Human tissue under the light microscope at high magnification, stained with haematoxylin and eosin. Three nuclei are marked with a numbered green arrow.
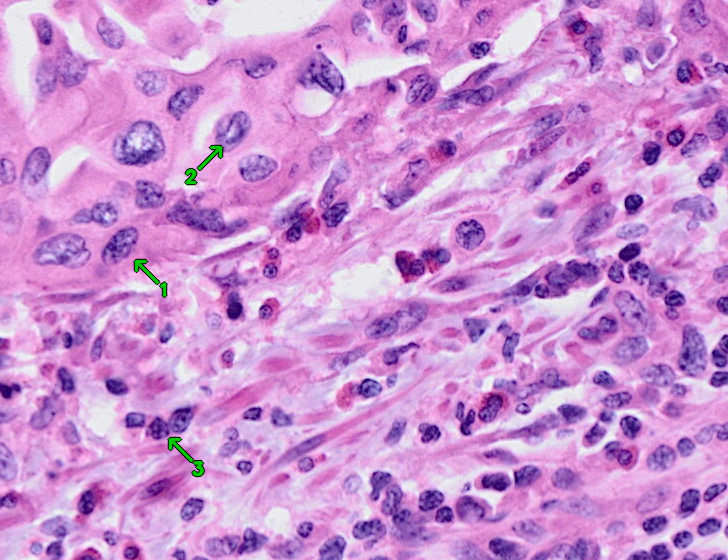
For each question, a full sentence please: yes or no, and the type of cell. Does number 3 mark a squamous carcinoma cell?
No, at number 3 sits a lymphocyte, not a squamous carcinoma cell.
